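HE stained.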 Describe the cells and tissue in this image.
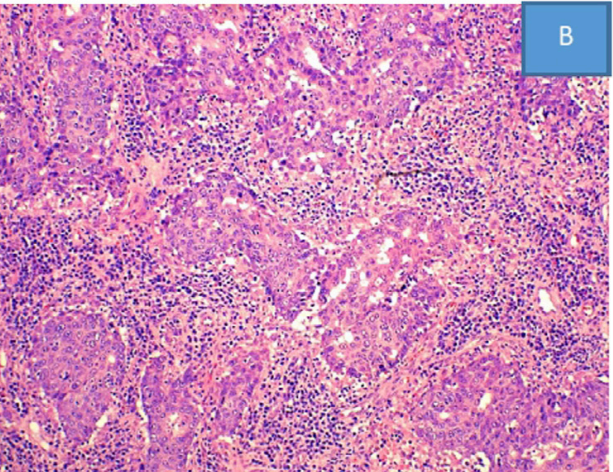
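This field shows an infiltrating tumor whose pale pink, larger cells are gathered into irregular nests of varying size and shape. Between the nests lies stroma packed with small round cells with dark nuclei, an inflammatory reaction. The tumor cells have more cytoplasm and paler nuclei than the surrounding inflammatory cells, so the nests stand out as lighter islands. A few small clefts and spaces appear within the nests.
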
